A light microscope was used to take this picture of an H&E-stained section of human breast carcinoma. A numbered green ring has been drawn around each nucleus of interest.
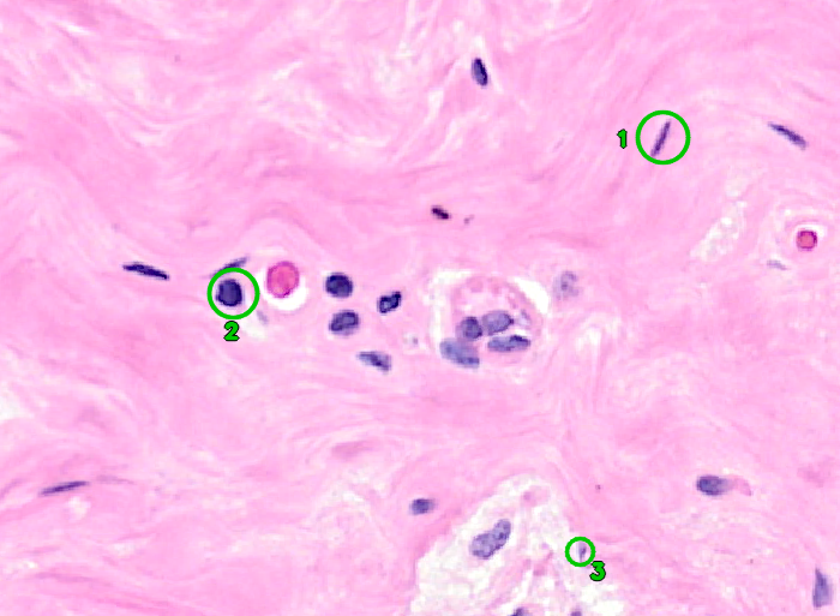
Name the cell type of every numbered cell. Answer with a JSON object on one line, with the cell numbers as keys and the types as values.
{"1": "fibroblast", "2": "lymphocyte", "3": "fibroblast"}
